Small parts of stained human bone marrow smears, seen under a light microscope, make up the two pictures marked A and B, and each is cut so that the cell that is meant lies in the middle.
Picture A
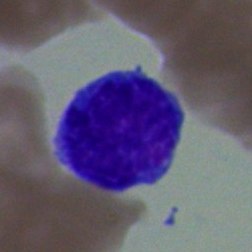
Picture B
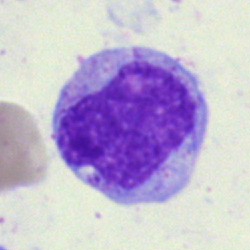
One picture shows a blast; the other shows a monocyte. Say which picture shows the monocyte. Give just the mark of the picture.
B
